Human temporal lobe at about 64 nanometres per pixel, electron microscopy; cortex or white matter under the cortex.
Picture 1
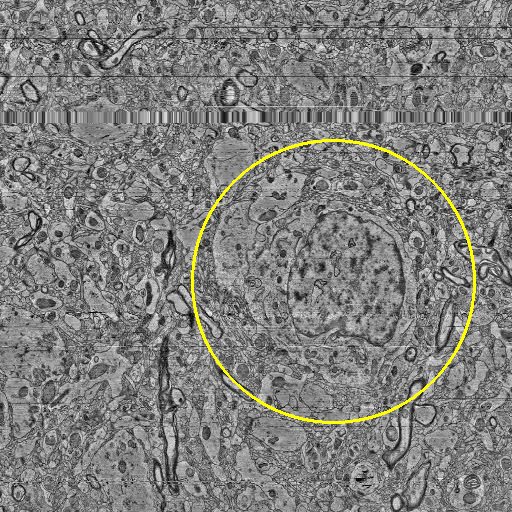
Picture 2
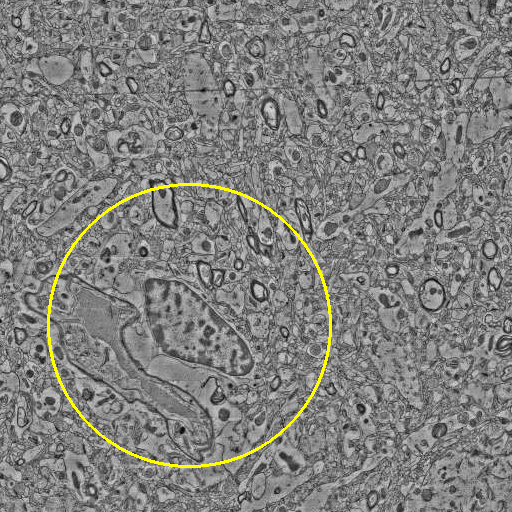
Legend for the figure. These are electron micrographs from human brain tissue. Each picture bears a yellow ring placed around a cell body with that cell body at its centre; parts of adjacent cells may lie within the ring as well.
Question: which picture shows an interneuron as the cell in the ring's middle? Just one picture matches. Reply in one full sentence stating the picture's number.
It is picture 1 whose yellow ring is centred on the requested cell.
